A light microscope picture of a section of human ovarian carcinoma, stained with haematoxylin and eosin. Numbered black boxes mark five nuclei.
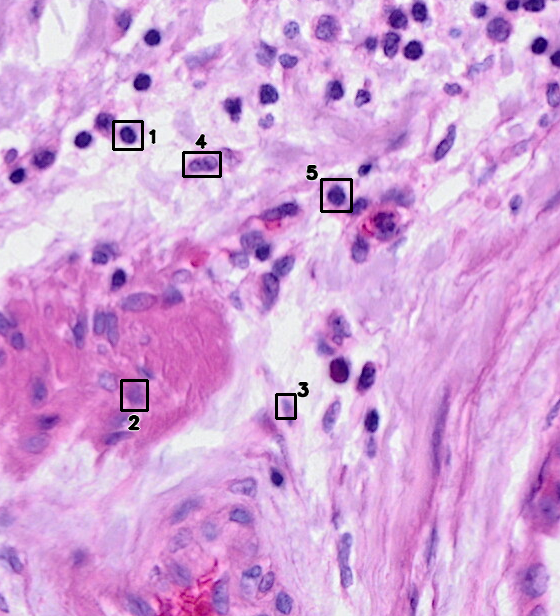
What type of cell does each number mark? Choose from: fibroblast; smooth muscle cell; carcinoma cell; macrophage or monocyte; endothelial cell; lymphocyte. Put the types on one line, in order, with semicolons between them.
lymphocyte; smooth muscle cell; macrophage or monocyte; macrophage or monocyte; lymphocyte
